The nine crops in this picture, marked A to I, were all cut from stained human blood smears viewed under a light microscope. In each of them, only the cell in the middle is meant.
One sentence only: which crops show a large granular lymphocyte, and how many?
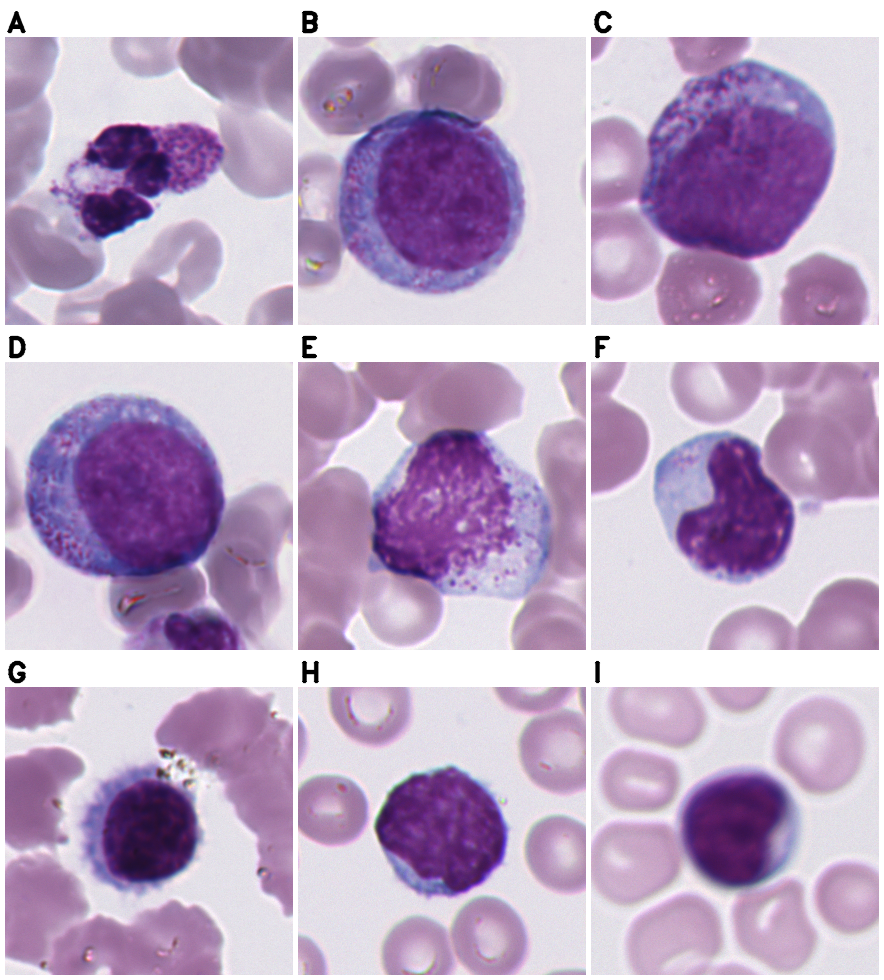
So, in total, two crops show large granular lymphocytes: E and F.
